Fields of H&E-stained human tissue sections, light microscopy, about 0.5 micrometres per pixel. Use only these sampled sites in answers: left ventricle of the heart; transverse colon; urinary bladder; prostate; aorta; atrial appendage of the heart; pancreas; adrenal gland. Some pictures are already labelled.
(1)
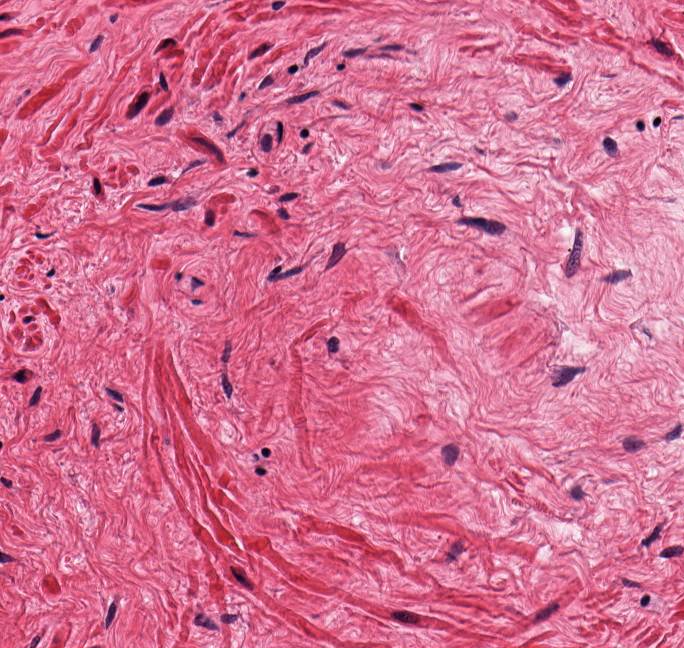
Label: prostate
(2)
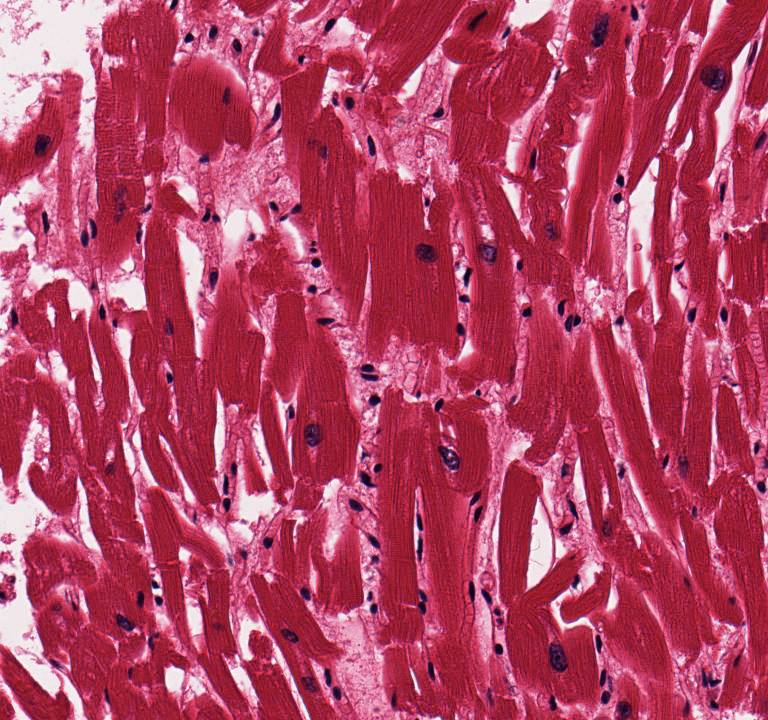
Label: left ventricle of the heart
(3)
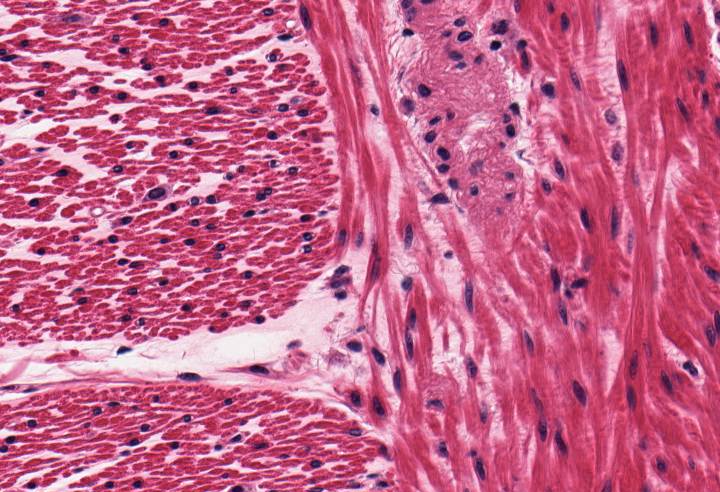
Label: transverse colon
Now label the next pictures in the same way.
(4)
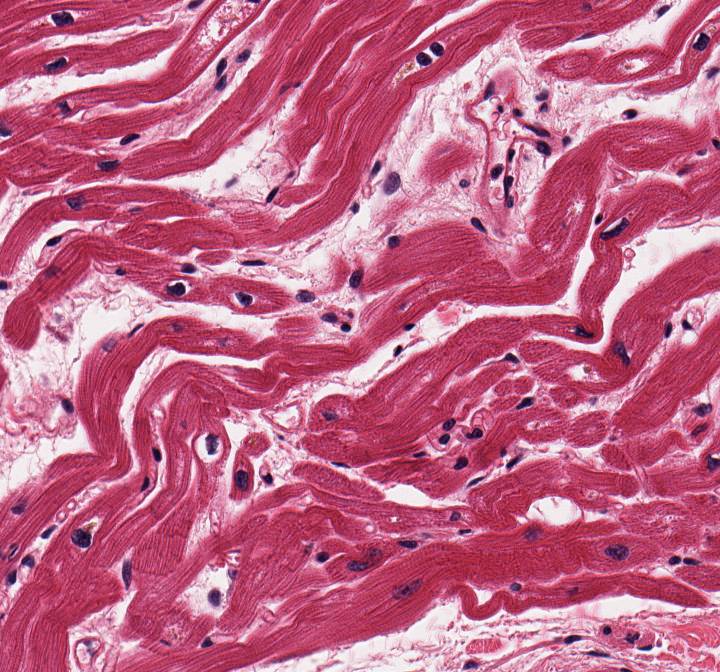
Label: atrial appendage of the heart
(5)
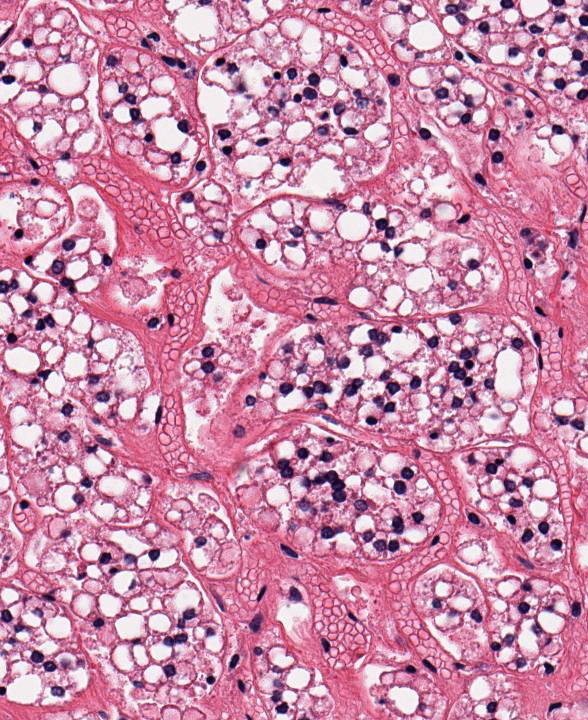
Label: adrenal gland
